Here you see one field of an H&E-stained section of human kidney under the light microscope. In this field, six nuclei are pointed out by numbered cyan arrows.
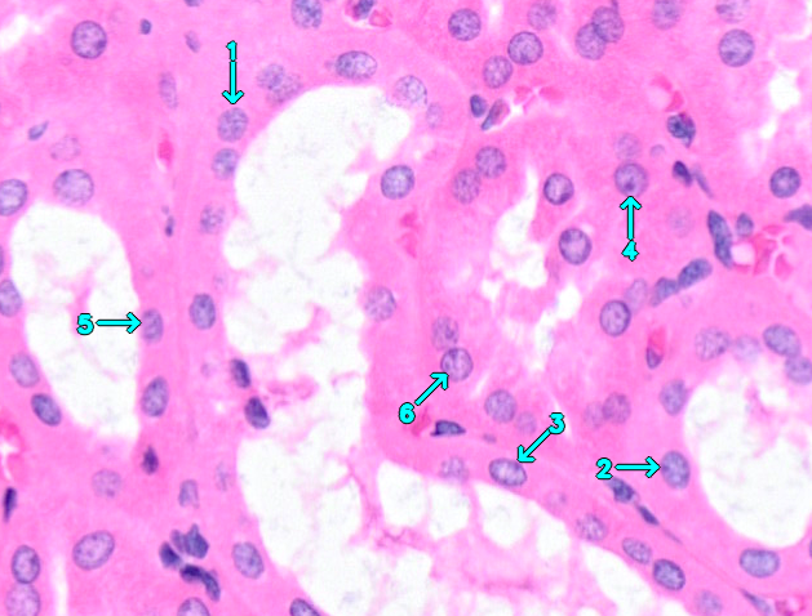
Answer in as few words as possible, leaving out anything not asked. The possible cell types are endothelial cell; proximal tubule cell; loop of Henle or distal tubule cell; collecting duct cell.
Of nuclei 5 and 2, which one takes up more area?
2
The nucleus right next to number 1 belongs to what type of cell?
loop of Henle or distal tubule cell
